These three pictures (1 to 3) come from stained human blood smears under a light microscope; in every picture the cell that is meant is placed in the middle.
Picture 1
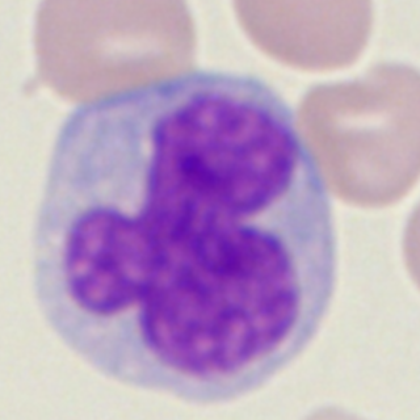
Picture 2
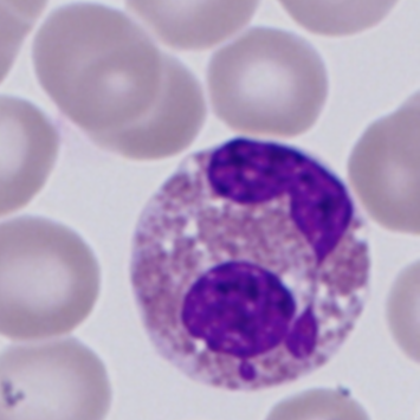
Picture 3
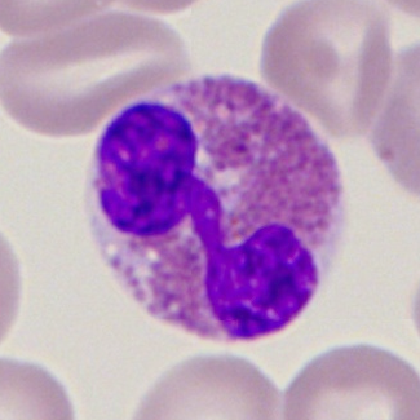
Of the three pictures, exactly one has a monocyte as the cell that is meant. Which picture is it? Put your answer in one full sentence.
The picture with the monocyte is 1.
